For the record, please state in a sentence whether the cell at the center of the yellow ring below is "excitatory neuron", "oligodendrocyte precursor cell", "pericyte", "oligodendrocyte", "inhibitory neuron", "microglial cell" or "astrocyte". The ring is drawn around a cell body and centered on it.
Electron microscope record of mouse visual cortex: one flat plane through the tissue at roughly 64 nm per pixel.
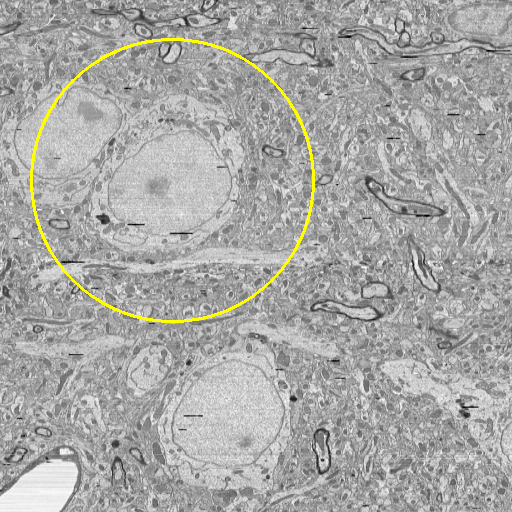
The cell at the ring's center is an excitatory neuron.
